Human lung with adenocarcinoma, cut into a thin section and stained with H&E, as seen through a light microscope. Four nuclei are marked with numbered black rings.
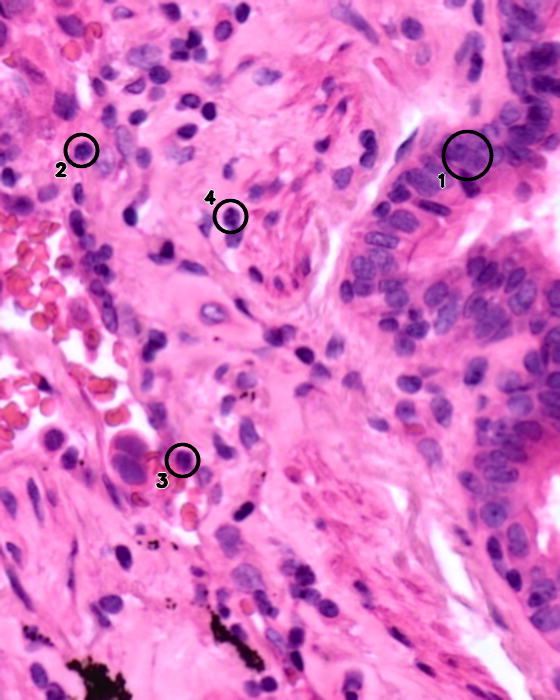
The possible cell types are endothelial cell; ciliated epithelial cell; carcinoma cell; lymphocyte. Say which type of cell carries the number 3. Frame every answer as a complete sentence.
The nucleus with number 3 is that of a lymphocyte.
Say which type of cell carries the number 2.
Here the cell numbered 2 is a lymphocyte.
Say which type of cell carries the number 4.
Among the marked cells, number 4 is a lymphocyte.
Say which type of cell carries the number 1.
The cell marked with number 1 is a ciliated epithelial cell.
